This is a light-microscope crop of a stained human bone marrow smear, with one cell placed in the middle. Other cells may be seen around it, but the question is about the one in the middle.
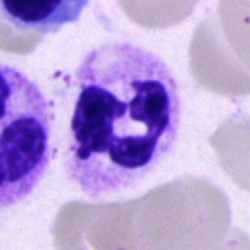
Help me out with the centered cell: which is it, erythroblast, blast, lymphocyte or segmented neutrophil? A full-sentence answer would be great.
The cell centered in this field of view is a segmented neutrophil.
